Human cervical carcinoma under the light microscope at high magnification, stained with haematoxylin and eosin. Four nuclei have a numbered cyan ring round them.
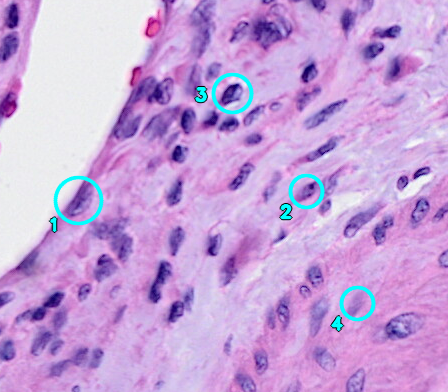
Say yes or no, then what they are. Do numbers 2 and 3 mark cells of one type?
No, cell 2 is identified as a smooth muscle cell, and cell 3 is identified as a lymphocyte.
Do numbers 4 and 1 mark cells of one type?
No, cell 1 is an endothelial cell, while cell 4 is a smooth muscle cell.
